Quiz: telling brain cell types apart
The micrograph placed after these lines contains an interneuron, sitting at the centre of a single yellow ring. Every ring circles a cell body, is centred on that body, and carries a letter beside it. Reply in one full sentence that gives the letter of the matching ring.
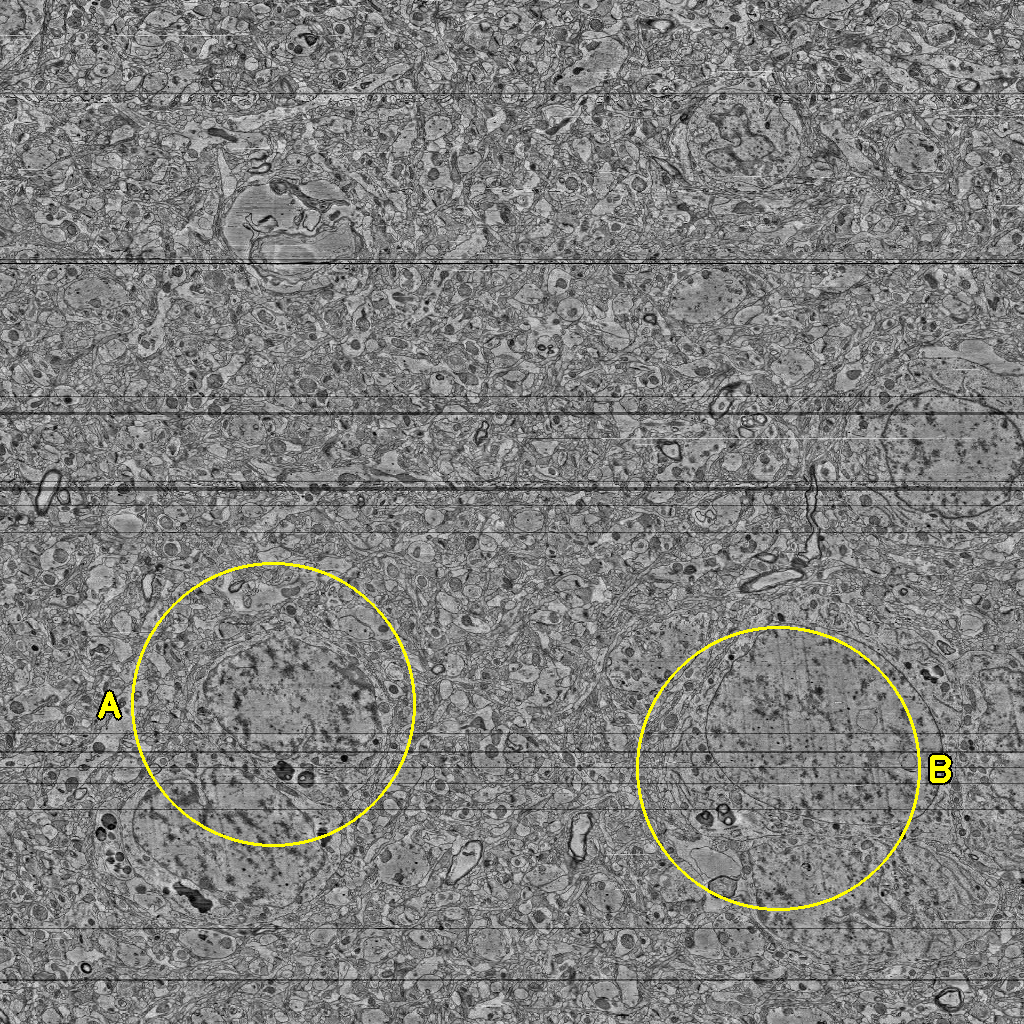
The cell asked for lies at the centre of ring A in the picture.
